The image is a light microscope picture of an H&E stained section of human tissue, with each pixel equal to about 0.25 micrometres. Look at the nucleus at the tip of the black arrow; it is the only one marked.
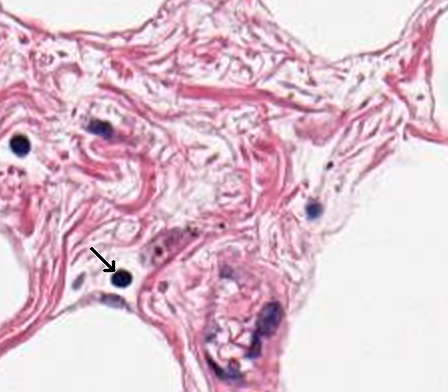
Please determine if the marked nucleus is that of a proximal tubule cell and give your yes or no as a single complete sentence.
No, the marked nucleus, which belongs to a supporting cell, is not part of a proximal tubule cell.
